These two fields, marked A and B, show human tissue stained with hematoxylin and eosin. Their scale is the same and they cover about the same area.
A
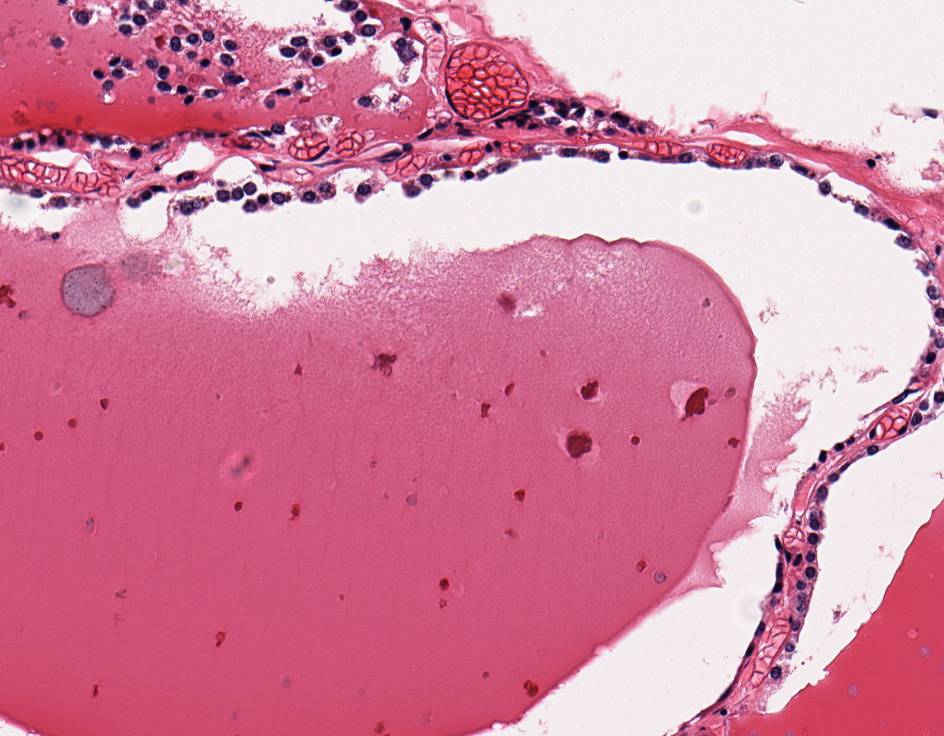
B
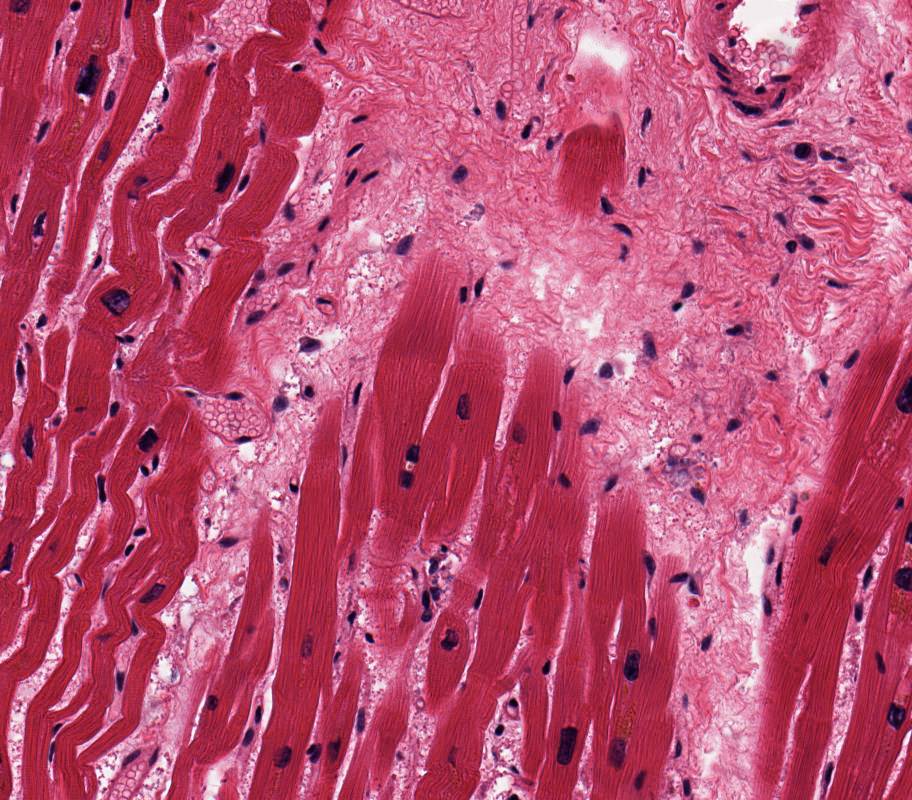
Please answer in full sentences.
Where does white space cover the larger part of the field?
More of picture A is empty and white.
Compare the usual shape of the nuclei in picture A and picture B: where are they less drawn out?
The nuclei are rounder in picture A.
